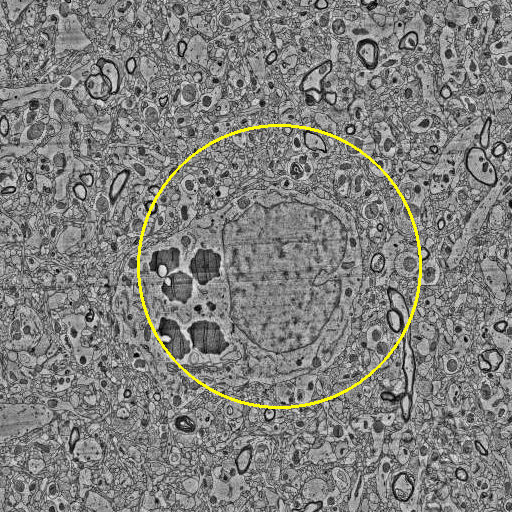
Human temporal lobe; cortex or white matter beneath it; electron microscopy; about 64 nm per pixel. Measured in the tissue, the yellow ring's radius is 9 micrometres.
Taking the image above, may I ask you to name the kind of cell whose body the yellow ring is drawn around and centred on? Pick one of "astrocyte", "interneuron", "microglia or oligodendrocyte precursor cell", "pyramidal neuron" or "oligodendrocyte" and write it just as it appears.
interneuron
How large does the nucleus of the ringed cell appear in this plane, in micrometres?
The ringed cell's nucleus measures approximately 10 by 8 micrometres in this plane.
